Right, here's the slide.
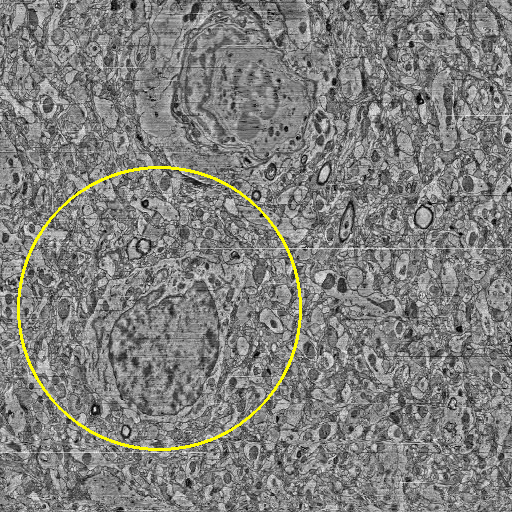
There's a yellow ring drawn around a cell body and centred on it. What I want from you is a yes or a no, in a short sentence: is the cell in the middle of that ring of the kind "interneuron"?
Yes, it's of that kind.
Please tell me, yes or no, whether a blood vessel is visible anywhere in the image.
Yes, there is one.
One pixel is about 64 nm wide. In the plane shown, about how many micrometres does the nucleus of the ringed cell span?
About 9 by 7 micrometers, in this plane.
